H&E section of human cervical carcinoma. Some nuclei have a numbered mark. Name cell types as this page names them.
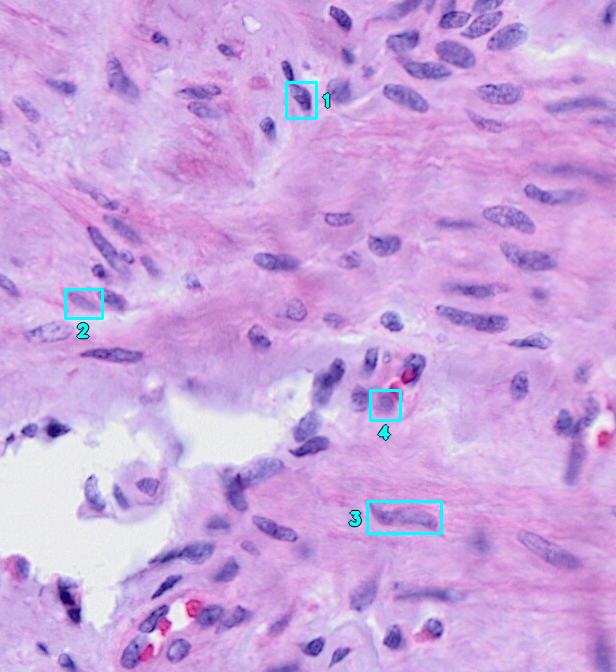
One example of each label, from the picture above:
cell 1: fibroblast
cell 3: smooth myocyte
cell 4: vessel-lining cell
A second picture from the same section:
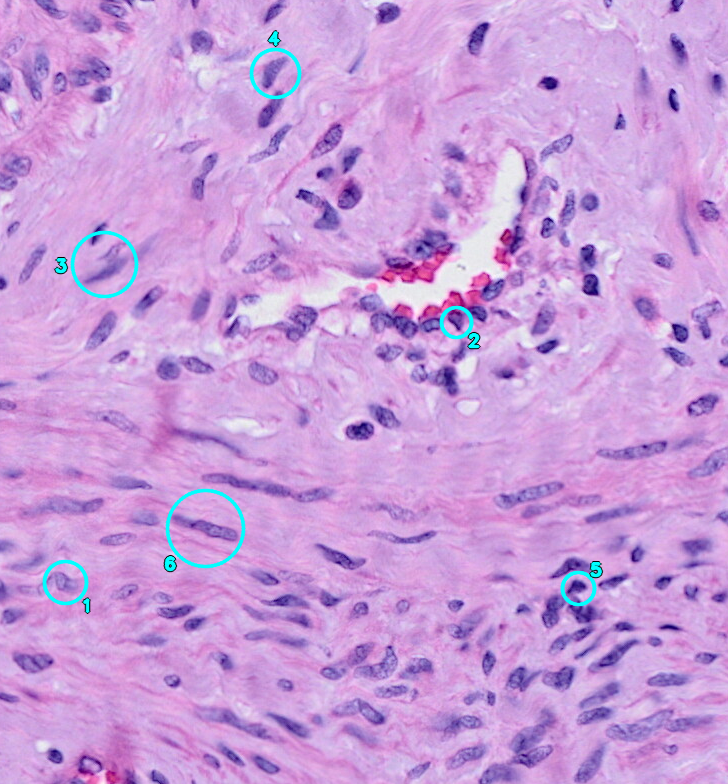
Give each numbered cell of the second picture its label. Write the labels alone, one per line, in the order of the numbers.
smooth myocyte
vessel-lining cell
fibroblast
fibroblast
fibroblast
smooth myocyte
